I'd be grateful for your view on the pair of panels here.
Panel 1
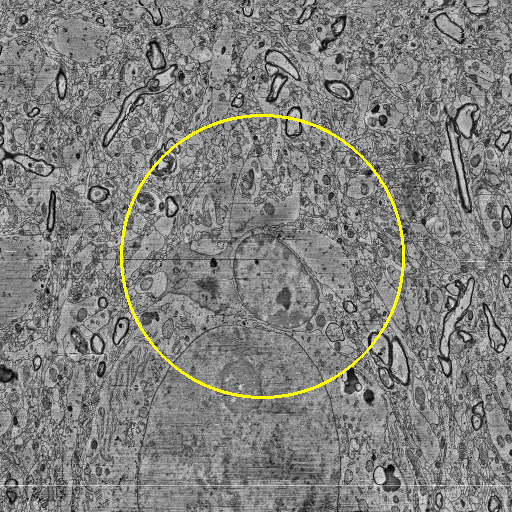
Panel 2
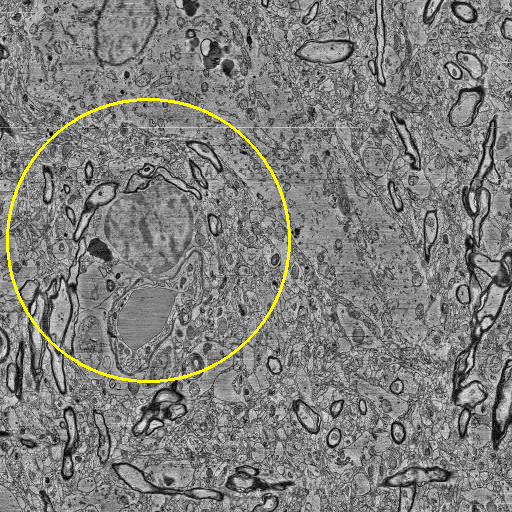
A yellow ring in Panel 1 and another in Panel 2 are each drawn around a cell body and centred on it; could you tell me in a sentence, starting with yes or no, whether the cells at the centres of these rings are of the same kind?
Yes, they are the same kind of cell.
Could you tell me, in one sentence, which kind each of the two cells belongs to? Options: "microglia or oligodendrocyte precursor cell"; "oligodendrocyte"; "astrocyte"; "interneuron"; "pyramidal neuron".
In the first picture and in the second, the ring is centred on an oligodendrocyte.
